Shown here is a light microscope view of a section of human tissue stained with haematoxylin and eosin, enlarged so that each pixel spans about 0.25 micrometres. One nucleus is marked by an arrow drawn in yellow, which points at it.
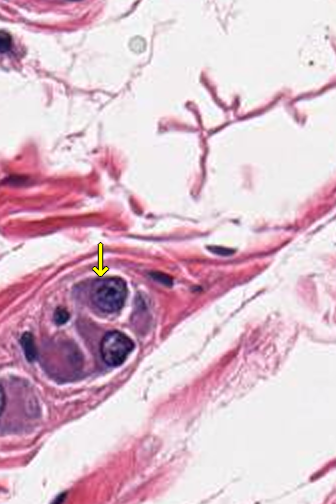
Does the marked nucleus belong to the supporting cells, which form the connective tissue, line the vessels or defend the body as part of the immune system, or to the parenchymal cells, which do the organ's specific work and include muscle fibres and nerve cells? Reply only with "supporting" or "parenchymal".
parenchymal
